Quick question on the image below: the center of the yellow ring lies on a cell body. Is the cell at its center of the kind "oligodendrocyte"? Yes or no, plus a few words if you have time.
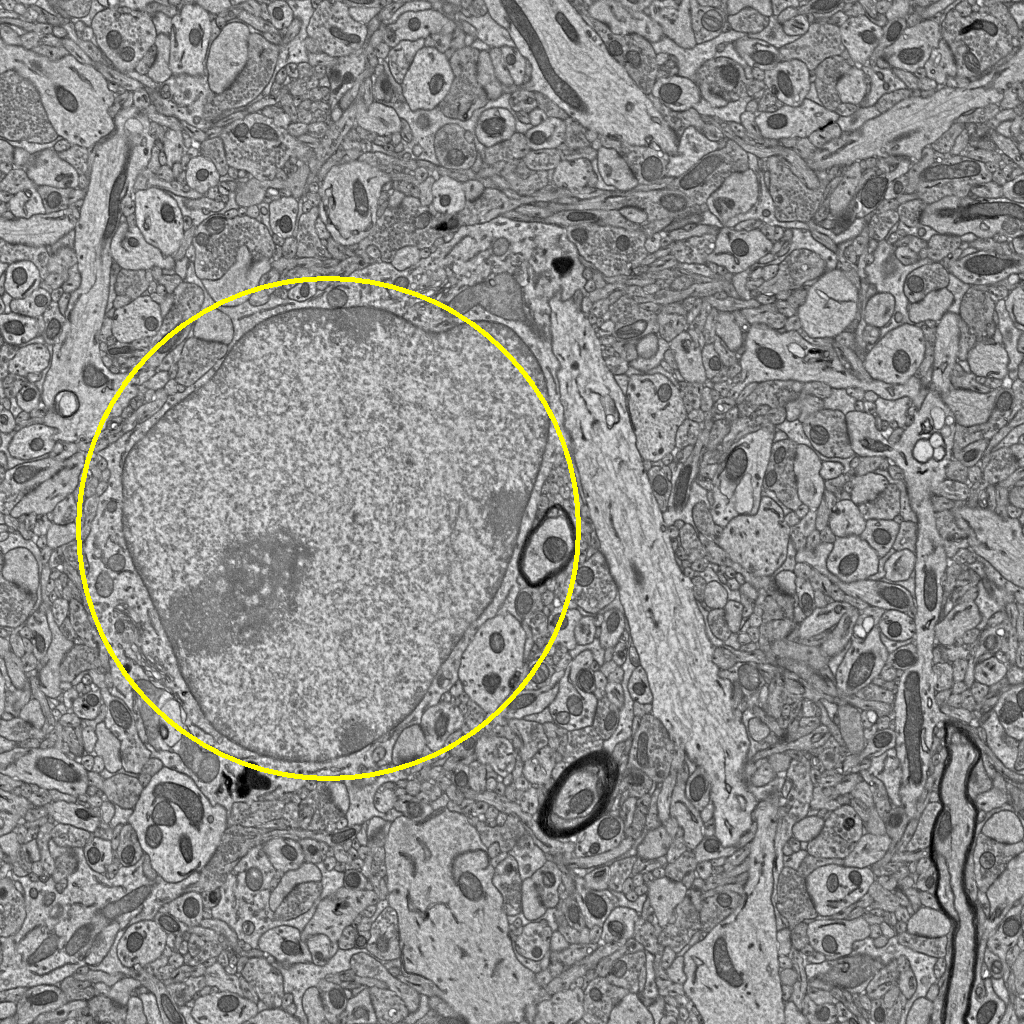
No, the cell at the center is of another kind.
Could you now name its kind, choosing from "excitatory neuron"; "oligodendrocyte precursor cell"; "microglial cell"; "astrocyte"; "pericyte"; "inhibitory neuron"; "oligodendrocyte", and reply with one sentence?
Instead, the picture shows an astrocyte at the centre of the ring.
